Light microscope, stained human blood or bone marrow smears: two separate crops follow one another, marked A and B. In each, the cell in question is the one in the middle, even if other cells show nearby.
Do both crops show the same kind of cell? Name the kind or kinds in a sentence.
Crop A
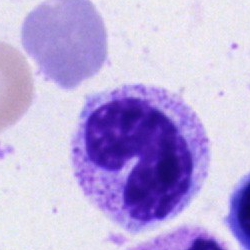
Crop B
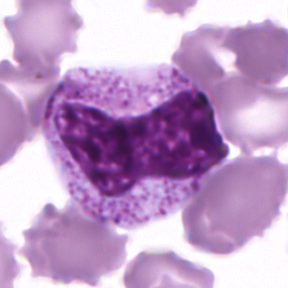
Yes, the two crops show metamyelocytes at their centres.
